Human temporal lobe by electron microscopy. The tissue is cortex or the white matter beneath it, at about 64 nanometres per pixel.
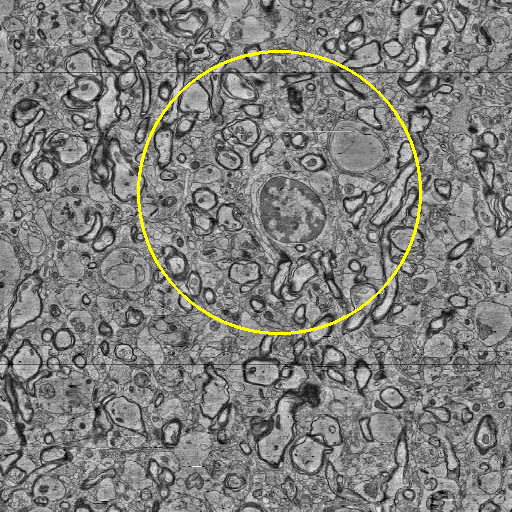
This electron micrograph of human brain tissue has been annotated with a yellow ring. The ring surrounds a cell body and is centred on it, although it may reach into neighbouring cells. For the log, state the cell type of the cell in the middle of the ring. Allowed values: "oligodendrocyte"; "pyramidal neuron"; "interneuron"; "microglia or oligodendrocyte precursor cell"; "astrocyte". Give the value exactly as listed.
microglia or oligodendrocyte precursor cell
